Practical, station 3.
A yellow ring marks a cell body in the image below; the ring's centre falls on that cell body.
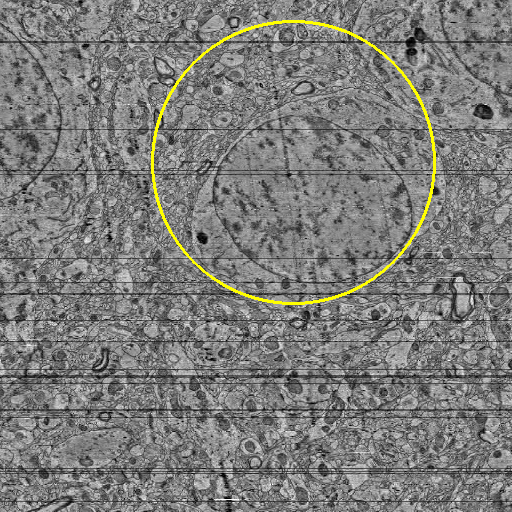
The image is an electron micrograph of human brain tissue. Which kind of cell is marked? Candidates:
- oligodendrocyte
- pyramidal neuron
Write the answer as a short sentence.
The marked cell body is that of a pyramidal neuron.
